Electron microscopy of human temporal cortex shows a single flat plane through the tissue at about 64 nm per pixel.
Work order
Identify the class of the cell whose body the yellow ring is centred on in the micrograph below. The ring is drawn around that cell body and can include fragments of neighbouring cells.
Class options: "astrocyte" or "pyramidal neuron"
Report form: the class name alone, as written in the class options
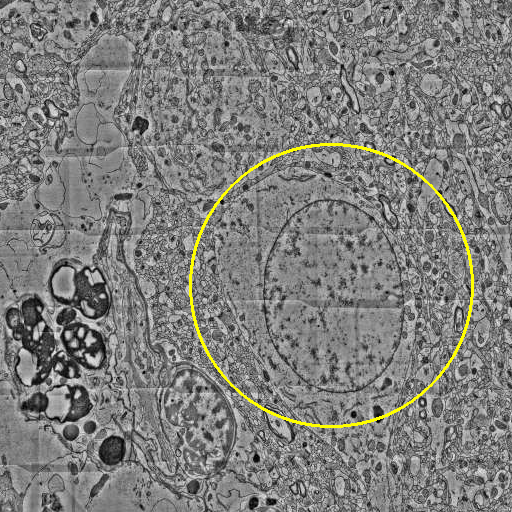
pyramidal neuron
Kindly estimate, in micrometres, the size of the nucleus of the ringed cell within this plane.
The ringed cell's nucleus is about 12 micrometres long and 9 micrometres wide in this plane.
